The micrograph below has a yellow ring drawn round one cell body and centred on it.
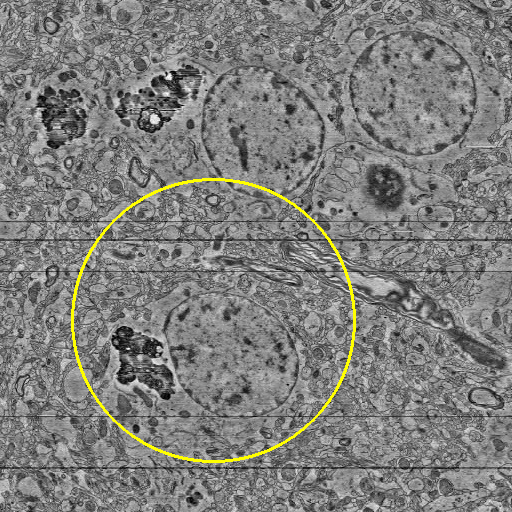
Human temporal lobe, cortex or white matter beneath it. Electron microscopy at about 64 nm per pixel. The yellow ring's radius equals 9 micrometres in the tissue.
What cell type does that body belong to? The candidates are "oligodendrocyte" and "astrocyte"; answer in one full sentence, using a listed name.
This is an astrocyte, the cell whose body lies at the centre of the ring.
